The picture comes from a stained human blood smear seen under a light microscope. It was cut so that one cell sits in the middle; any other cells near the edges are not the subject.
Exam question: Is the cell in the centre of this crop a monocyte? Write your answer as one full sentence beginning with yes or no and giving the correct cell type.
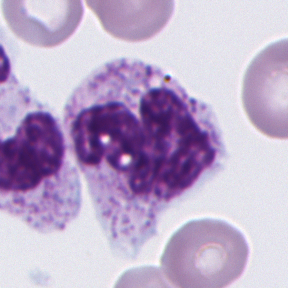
No, instead of being a monocyte, the middle cell is a segmented neutrophil.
